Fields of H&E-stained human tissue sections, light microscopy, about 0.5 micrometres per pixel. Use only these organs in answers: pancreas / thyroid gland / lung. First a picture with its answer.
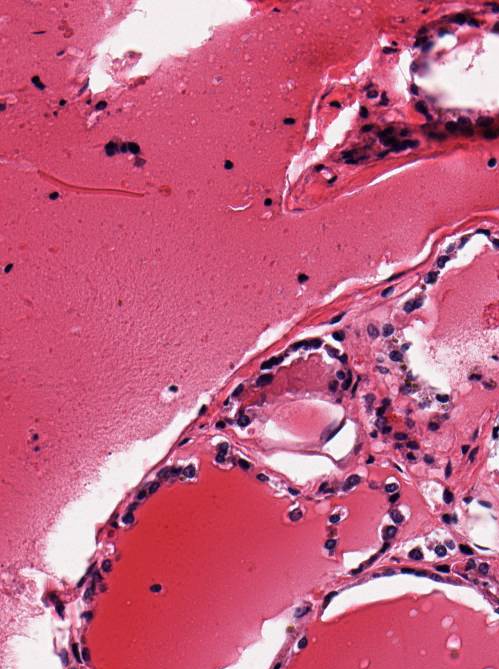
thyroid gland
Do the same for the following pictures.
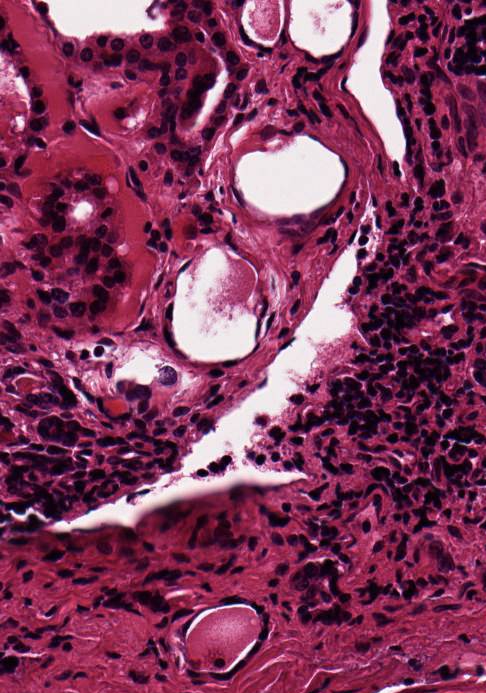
thyroid gland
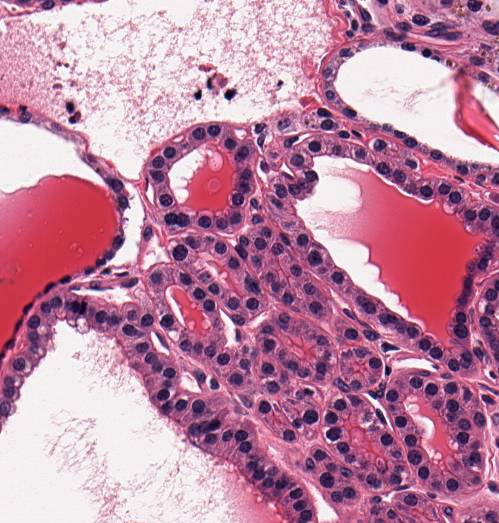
thyroid gland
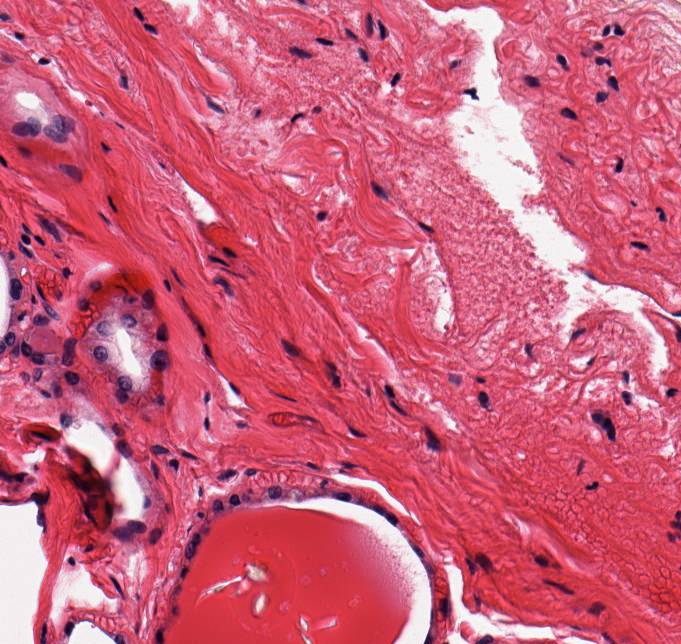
thyroid gland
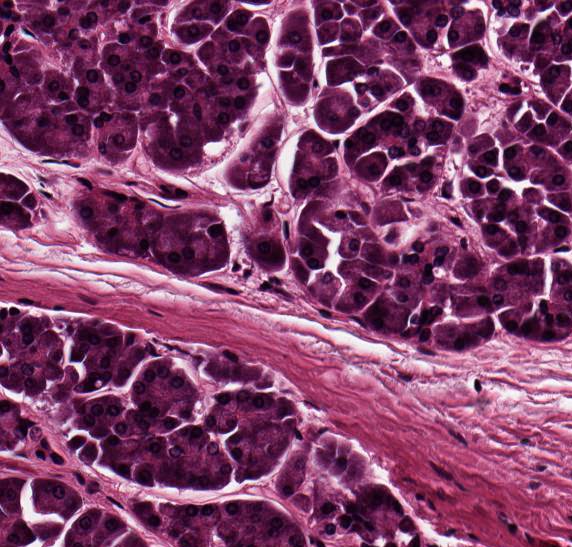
pancreas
